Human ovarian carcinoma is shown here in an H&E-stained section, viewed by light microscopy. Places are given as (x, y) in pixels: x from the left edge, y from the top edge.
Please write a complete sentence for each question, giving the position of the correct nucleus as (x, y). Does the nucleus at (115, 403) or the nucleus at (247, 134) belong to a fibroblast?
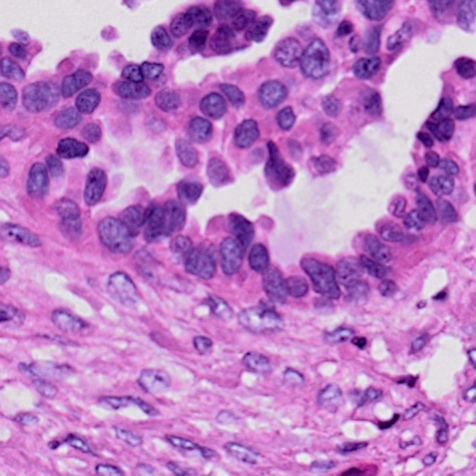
The nucleus at (115, 403) is contained in a fibroblast.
